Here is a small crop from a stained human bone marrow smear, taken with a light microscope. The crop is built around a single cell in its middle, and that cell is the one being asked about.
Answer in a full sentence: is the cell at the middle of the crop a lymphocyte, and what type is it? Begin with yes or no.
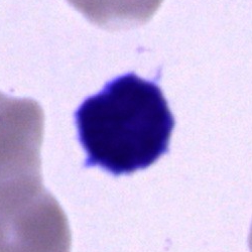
Yes, a lymphocyte is the cell positioned in the middle of the field.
